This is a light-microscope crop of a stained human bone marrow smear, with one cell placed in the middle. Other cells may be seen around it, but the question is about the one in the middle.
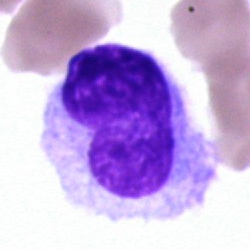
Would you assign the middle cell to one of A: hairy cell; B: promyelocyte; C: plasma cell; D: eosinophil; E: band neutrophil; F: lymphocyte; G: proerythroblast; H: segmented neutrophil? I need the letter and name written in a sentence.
According to option A, which is correct, the cell in the middle is a hairy cell.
